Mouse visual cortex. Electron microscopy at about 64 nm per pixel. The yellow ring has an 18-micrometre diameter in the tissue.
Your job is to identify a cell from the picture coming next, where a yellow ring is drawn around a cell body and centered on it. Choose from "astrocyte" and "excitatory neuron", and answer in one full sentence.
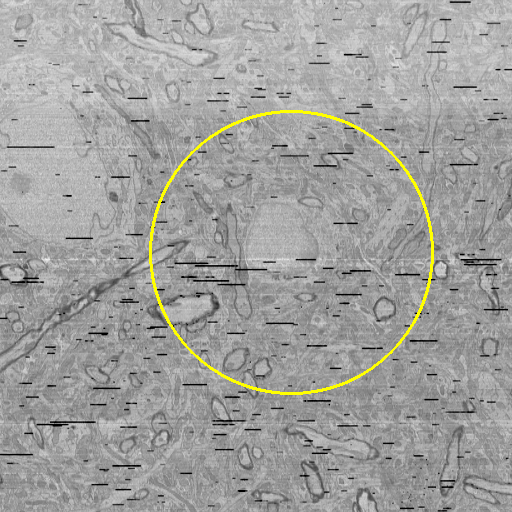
Centered in the yellow ring of the picture is the body of an astrocyte.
